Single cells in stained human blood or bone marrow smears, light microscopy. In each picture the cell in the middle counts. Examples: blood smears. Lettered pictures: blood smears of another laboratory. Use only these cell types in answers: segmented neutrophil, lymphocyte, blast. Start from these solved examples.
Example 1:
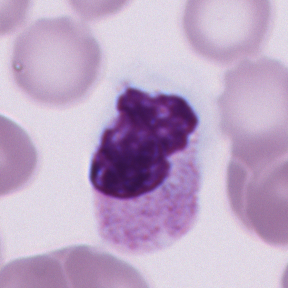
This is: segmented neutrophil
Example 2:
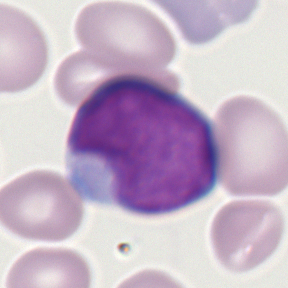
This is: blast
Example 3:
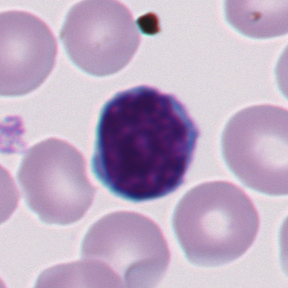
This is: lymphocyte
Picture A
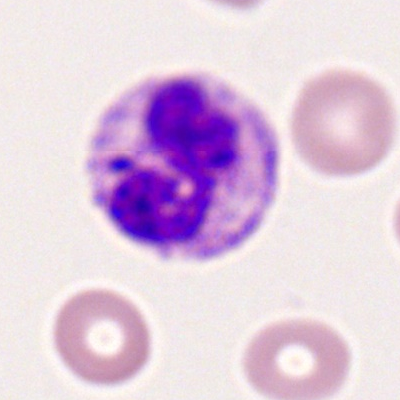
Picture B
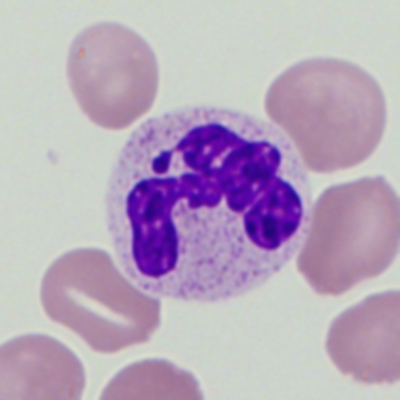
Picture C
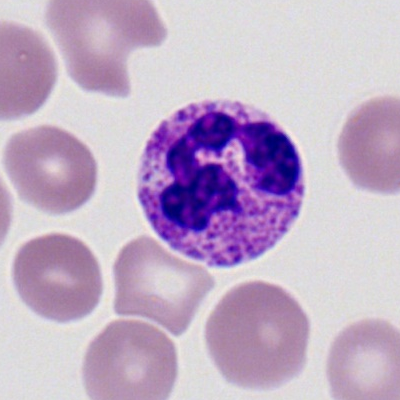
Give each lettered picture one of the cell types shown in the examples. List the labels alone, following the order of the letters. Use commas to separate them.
segmented neutrophil, segmented neutrophil, segmented neutrophil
